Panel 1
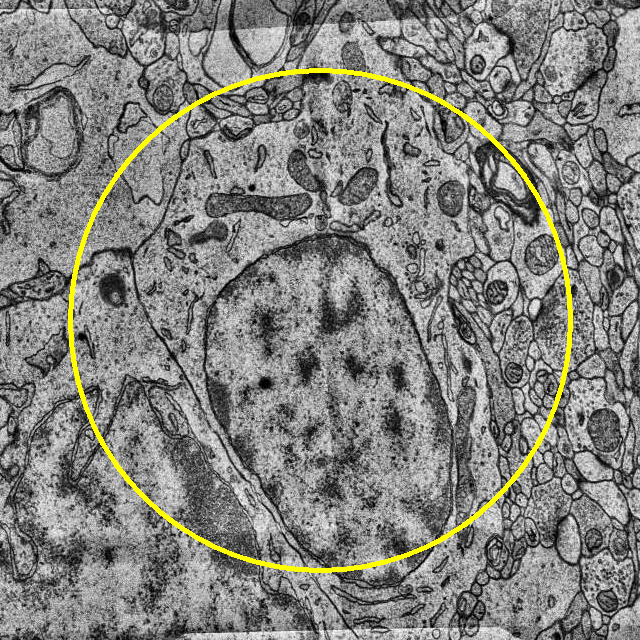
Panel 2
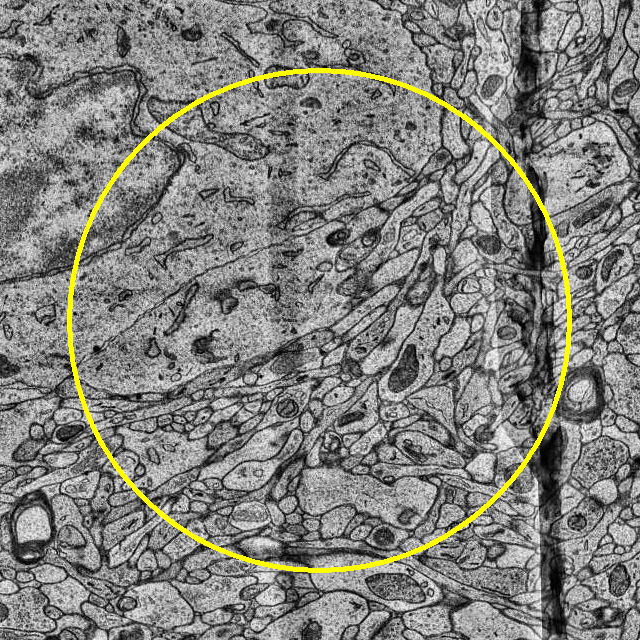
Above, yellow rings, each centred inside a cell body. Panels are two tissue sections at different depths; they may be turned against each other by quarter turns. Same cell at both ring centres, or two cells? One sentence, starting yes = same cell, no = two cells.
Yes, the two rings encircle a single cell, not a pair.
